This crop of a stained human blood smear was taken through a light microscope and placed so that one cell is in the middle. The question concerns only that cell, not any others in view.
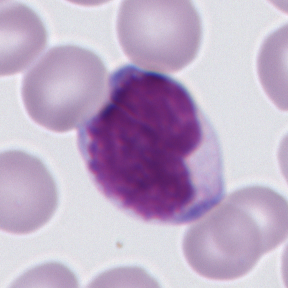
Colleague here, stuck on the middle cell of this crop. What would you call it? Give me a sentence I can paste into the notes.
The center cell of this crop is a large granular lymphocyte.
